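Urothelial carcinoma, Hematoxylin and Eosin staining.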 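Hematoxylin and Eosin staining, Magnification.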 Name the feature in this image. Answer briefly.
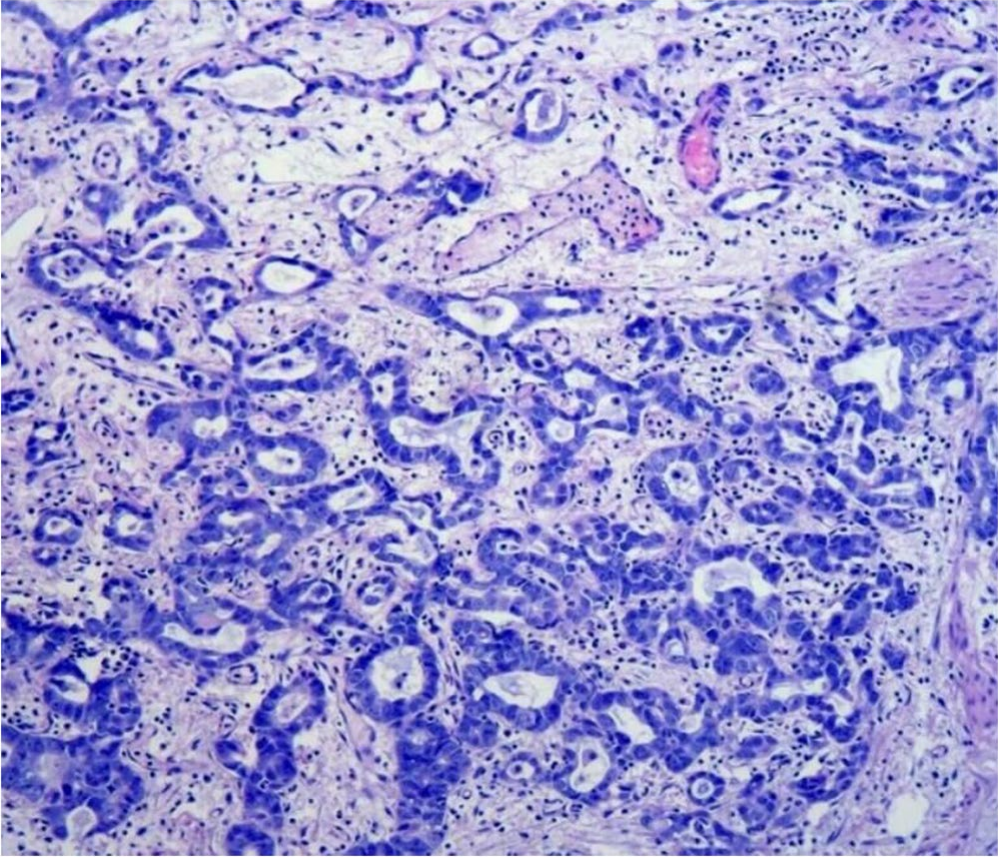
Tubular or enteric gland-like space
